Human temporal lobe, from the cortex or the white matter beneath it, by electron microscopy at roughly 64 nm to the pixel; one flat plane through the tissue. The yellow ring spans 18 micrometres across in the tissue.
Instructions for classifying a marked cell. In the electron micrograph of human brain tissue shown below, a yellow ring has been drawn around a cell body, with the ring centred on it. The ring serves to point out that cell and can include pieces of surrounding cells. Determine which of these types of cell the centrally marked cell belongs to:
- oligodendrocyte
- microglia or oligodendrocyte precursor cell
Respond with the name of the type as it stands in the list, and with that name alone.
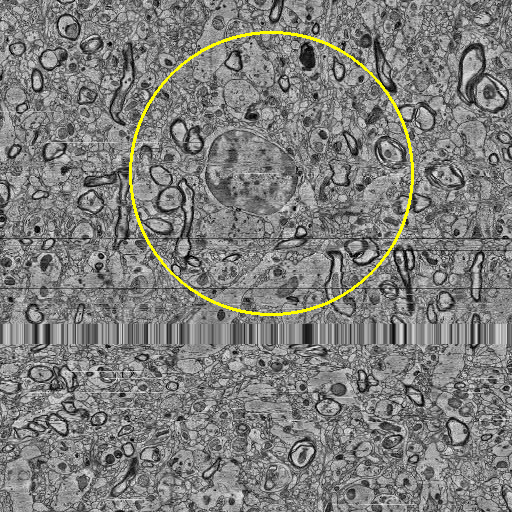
microglia or oligodendrocyte precursor cell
